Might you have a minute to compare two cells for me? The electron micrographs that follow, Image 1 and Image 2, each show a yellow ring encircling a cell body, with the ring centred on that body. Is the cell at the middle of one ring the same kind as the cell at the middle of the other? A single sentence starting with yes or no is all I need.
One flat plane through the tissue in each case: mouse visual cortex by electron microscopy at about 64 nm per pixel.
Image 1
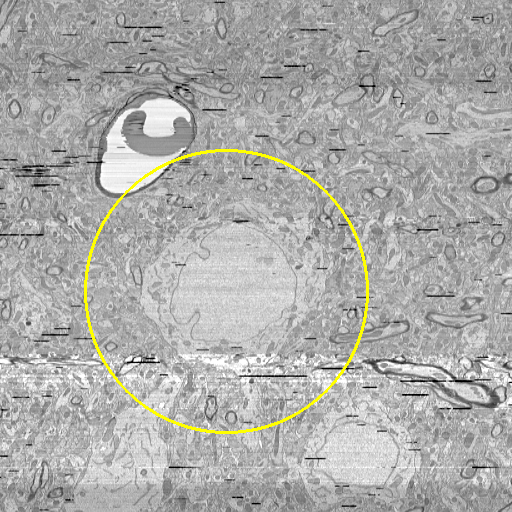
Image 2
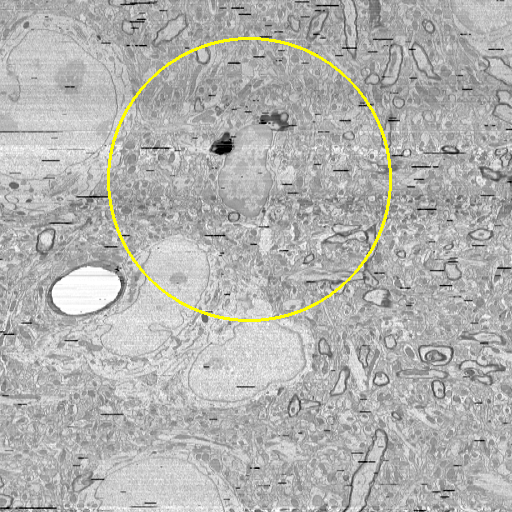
No, the cells in the middle of the two rings are of two separate kinds.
